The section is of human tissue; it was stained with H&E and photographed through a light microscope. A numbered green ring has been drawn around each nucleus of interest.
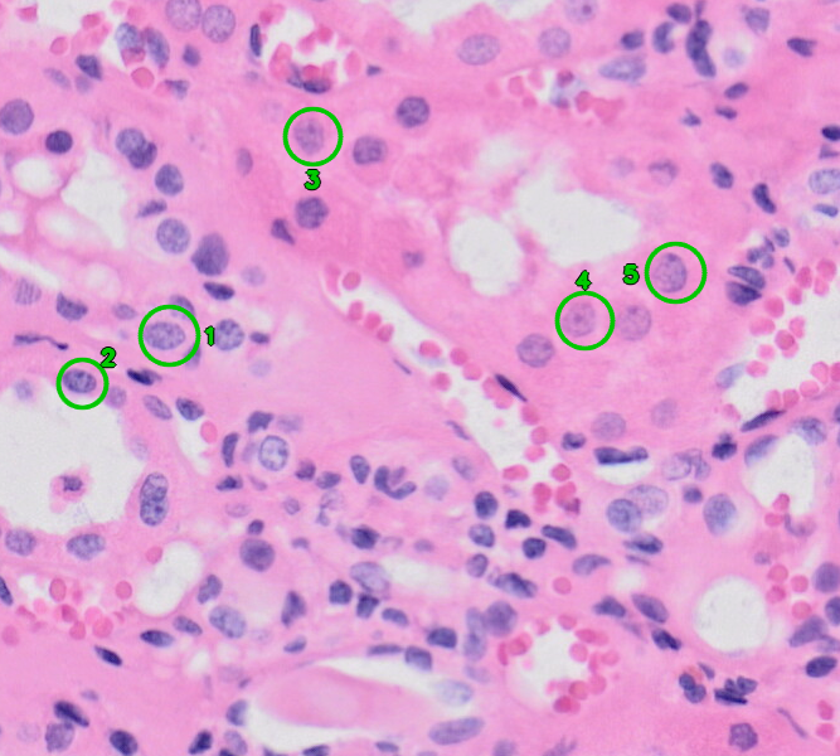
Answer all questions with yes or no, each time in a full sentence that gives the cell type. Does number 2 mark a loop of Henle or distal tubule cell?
Yes, the cell distinguished by number 2 is a loop of Henle or distal tubule cell.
